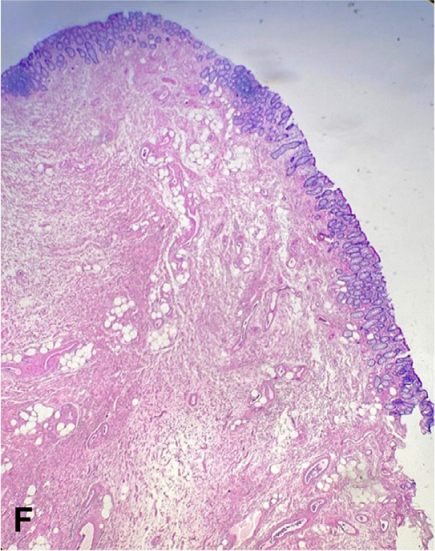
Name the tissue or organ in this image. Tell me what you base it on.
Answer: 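A purple band of tubular glands runs along the upper and right edge.
Normal colonic mucosa.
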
